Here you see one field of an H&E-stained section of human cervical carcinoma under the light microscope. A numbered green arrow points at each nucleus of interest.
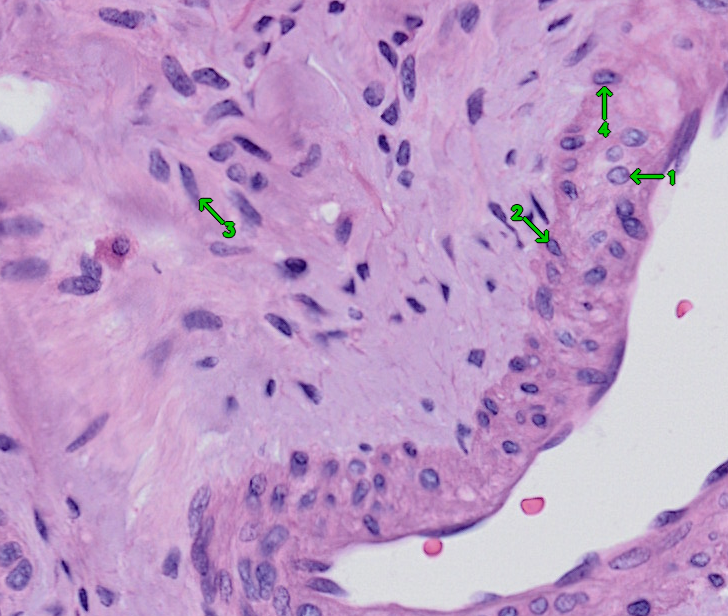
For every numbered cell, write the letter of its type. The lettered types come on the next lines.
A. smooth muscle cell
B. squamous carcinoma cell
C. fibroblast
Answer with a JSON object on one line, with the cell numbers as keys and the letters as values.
{"1": "A", "2": "A", "3": "C", "4": "A"}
